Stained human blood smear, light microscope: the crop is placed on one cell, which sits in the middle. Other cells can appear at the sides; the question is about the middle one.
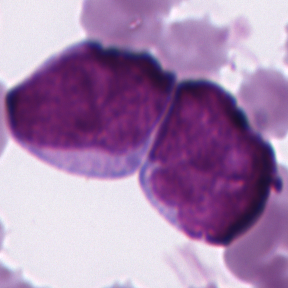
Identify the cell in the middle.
blast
